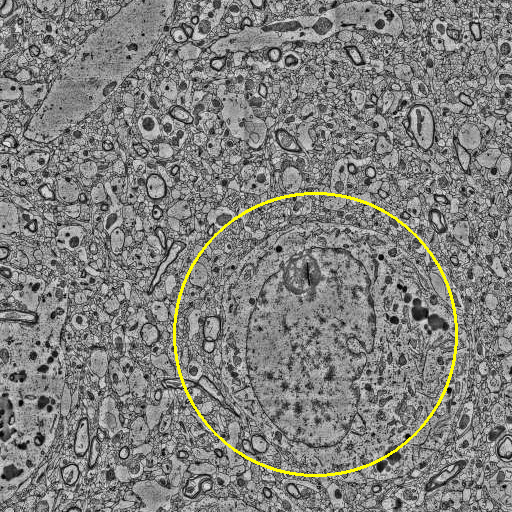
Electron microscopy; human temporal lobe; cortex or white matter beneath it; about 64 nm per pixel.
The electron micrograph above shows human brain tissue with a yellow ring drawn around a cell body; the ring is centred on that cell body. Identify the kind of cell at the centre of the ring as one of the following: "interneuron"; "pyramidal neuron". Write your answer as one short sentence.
The cell at the centre of the ring is an interneuron.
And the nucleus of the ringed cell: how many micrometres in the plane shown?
About 13 by 8 micrometres, the nucleus being clearly longer than it is wide in this plane.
